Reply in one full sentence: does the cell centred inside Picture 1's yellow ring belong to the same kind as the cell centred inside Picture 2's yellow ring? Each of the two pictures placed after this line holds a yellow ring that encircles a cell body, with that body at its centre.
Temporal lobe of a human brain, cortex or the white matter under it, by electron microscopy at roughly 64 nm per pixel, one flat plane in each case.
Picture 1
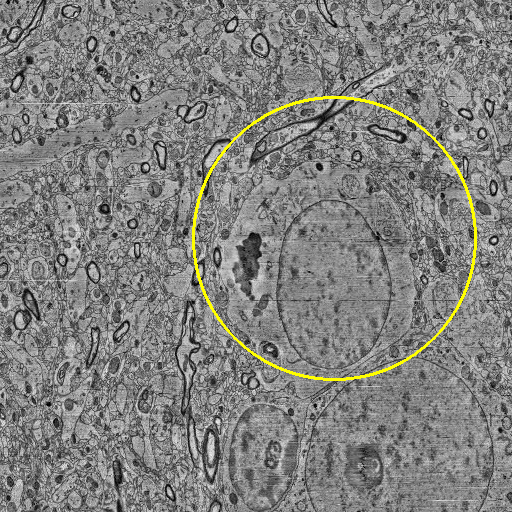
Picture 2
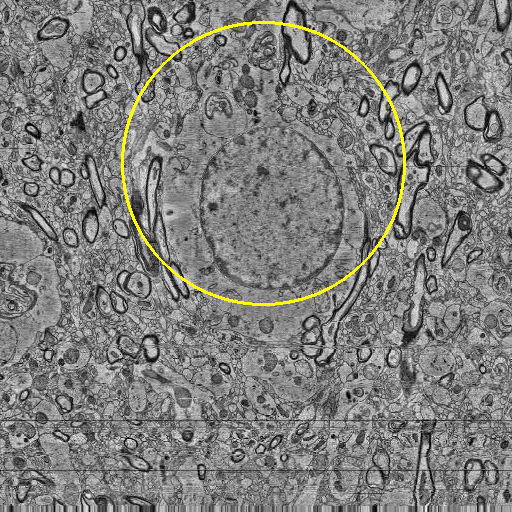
Yes, the ring-centred cells in Picture 1 and Picture 2 are of one and the same kind.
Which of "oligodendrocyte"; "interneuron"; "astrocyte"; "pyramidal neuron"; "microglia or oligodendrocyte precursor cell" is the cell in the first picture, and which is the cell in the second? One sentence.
Both pictures show an astrocyte at the centre of the ring.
